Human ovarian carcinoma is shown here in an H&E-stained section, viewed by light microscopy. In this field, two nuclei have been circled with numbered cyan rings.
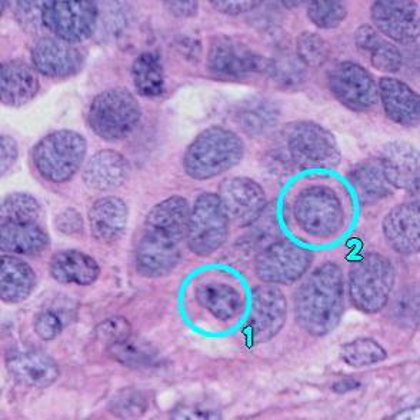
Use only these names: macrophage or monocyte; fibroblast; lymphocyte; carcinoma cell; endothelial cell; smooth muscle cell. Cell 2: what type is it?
carcinoma cell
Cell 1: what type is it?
macrophage or monocyte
